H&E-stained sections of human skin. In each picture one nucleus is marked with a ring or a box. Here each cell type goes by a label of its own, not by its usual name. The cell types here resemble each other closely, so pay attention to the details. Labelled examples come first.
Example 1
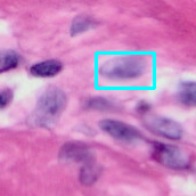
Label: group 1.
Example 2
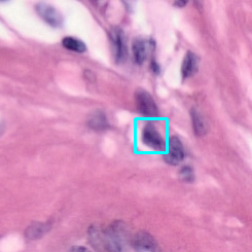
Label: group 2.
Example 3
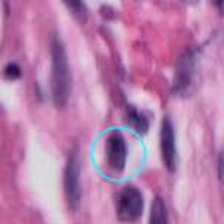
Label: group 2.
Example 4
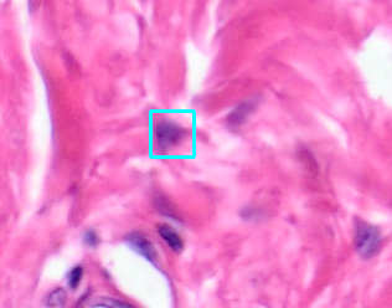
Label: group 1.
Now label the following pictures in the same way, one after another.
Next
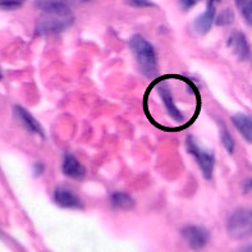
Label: group 2.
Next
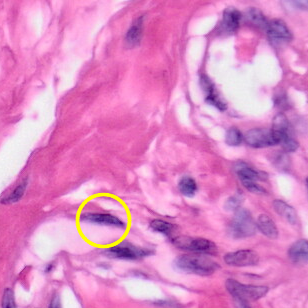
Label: group 2.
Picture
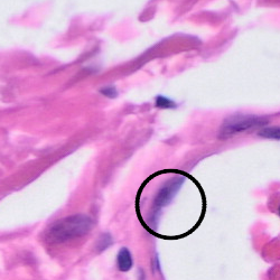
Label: group 2.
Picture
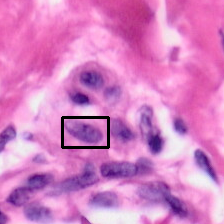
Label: group 2.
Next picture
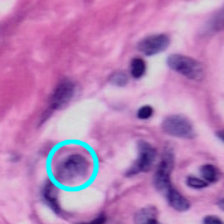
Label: group 2.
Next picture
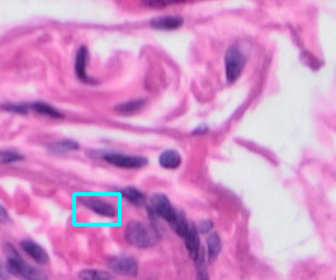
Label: group 2.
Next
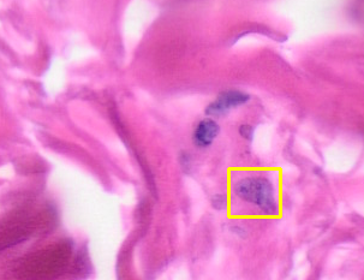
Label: group 1.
